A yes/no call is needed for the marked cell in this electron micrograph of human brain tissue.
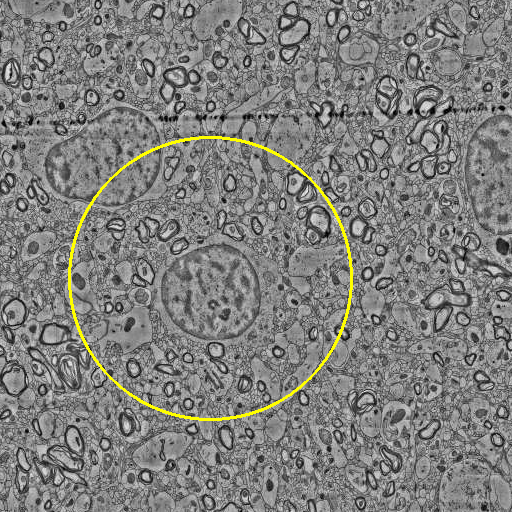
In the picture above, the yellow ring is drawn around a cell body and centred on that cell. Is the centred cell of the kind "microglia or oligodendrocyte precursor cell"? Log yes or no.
no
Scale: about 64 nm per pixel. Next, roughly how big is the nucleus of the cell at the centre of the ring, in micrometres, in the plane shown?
Approximately 6 micrometres across, in this plane.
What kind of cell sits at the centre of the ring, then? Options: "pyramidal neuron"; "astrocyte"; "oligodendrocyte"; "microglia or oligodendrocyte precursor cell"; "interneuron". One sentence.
Instead, the cell at the centre of the ring is an oligodendrocyte.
